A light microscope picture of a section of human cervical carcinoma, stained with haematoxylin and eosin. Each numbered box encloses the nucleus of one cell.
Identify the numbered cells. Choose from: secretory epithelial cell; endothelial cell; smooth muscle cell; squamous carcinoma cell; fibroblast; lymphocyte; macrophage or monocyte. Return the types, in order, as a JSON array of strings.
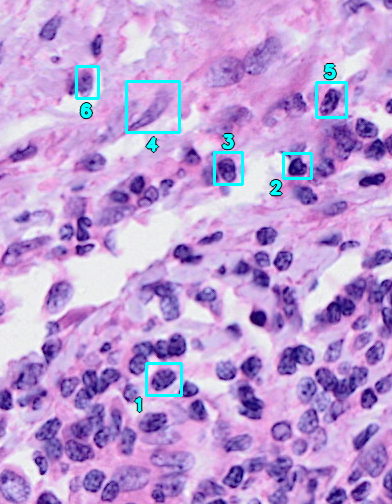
["lymphocyte", "lymphocyte", "lymphocyte", "fibroblast", "lymphocyte", "macrophage or monocyte"]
